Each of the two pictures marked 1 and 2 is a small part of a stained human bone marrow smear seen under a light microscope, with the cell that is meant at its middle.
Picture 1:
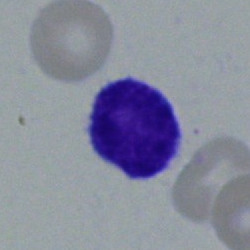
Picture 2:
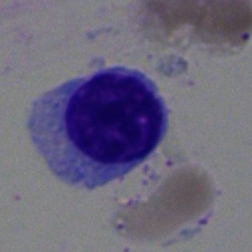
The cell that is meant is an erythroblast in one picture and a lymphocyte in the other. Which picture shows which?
1: lymphocyte
2: erythroblast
